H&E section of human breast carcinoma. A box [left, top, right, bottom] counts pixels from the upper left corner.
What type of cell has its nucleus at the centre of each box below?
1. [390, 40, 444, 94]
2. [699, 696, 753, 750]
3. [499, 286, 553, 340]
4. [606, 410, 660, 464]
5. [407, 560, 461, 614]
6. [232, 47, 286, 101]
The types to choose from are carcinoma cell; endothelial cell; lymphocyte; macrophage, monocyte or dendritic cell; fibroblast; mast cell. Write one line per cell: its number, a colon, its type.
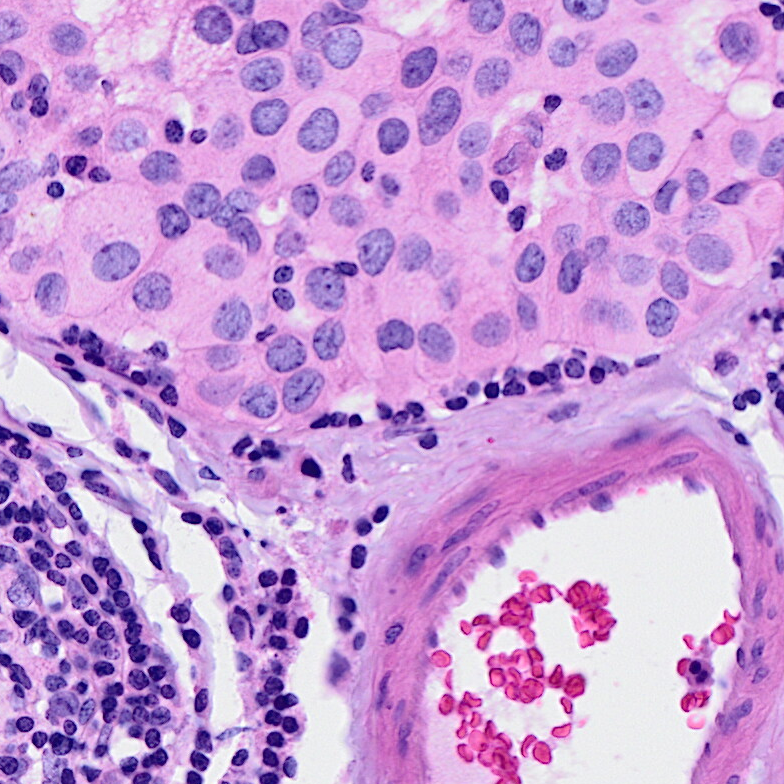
1: carcinoma cell
2: endothelial cell
3: carcinoma cell
4: endothelial cell
5: endothelial cell
6: carcinoma cell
